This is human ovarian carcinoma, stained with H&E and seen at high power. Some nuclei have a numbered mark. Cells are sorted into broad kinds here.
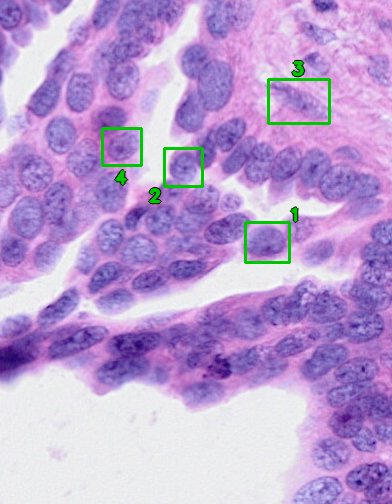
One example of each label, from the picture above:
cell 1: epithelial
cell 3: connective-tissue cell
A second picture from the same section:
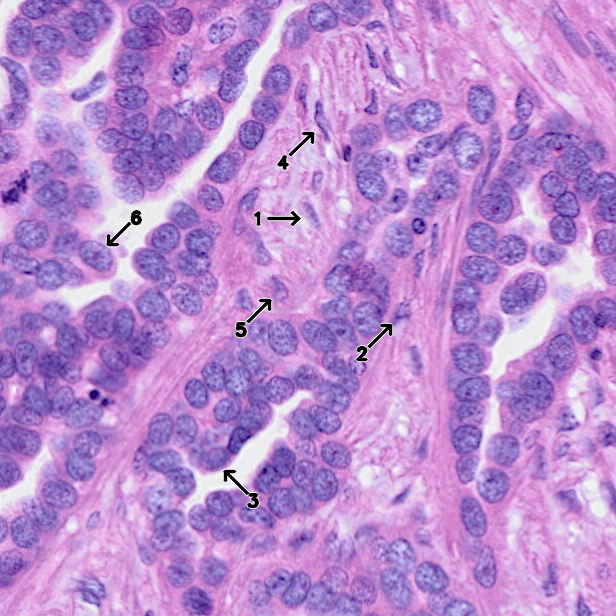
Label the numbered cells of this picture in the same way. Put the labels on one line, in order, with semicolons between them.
connective-tissue cell; connective-tissue cell; epithelial; connective-tissue cell; connective-tissue cell; epithelial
